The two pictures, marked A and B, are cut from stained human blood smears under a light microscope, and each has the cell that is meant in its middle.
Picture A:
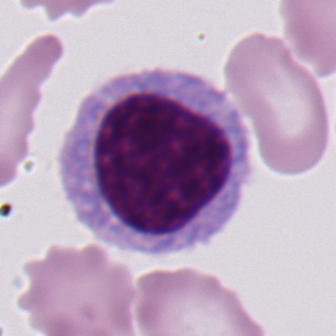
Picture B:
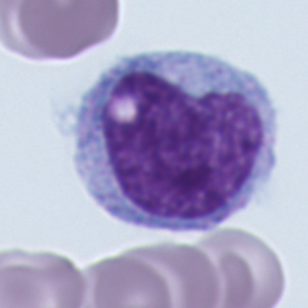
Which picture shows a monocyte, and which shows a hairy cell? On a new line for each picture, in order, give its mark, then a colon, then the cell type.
A: hairy cell
B: monocyte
